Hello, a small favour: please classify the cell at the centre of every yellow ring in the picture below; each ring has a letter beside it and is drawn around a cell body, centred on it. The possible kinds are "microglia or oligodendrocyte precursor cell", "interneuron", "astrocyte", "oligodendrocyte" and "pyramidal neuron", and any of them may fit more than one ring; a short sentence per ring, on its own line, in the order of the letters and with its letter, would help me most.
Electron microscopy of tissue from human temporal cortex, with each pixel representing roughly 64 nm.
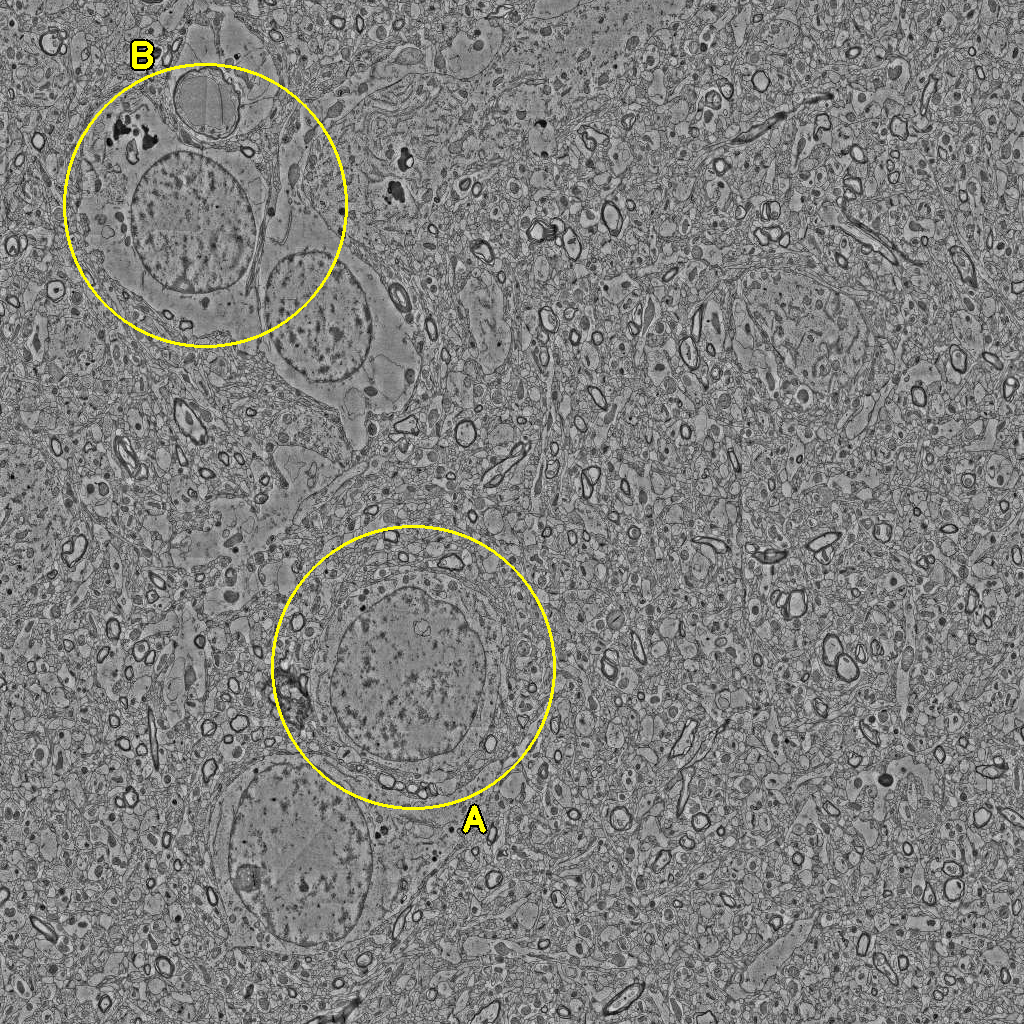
The centre of ring A falls on a pyramidal neuron.
The centre of ring B falls on an astrocyte.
